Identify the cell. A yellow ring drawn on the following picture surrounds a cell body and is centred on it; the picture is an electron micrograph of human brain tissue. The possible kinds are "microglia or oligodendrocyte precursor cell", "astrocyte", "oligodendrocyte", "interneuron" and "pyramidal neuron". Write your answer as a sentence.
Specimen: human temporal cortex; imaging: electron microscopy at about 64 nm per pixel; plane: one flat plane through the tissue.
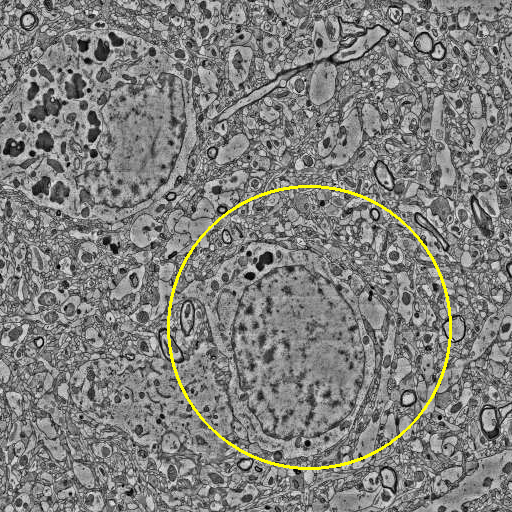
The cell identified by the ring is an interneuron.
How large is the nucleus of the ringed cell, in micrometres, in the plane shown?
In this plane the nucleus measures roughly 11 by 9 micrometers.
